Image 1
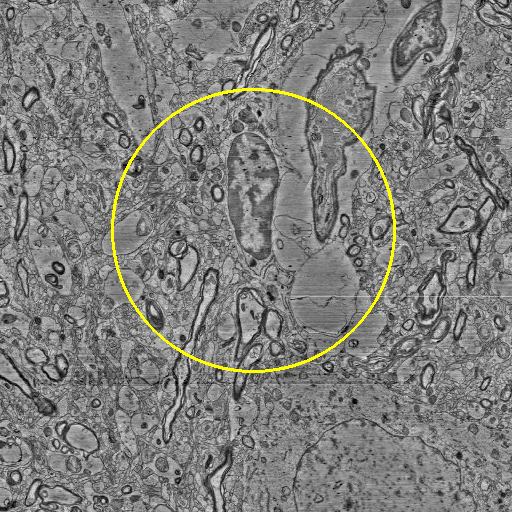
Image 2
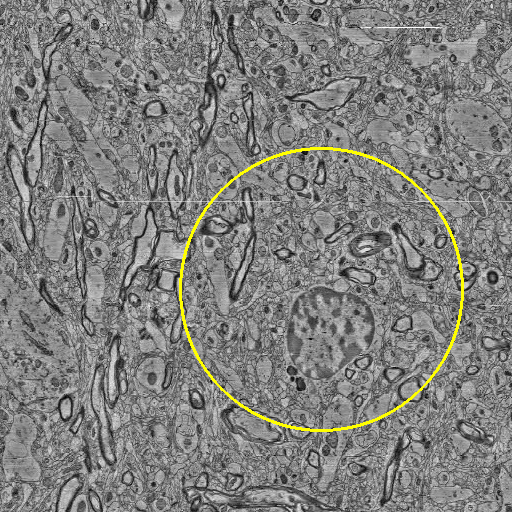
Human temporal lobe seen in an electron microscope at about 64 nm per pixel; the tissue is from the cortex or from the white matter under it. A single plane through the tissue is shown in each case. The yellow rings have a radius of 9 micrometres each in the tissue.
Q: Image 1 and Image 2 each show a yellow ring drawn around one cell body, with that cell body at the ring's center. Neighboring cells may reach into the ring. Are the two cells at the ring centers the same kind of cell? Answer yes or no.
yes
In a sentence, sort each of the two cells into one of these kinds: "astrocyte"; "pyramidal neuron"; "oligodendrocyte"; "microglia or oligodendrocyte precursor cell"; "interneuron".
The ring centre holds a microglial cell or oligodendrocyte precursor cell in each of the two pictures.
